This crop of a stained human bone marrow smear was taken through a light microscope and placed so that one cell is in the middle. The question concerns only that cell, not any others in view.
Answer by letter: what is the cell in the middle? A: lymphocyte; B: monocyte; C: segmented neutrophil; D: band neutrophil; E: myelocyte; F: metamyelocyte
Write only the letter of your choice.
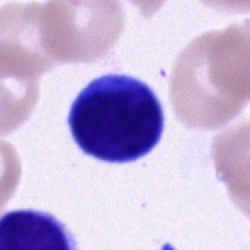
A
